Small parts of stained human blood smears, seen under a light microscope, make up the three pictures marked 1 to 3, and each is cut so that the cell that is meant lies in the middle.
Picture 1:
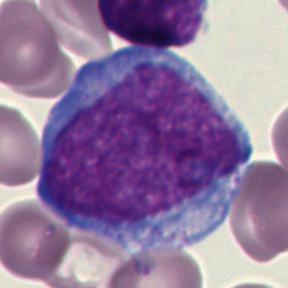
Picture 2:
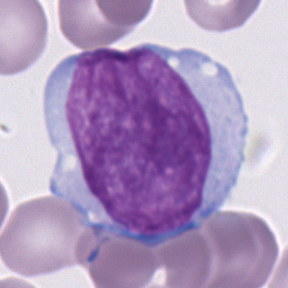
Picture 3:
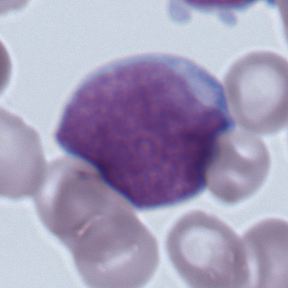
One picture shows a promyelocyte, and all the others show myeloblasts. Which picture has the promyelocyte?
1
